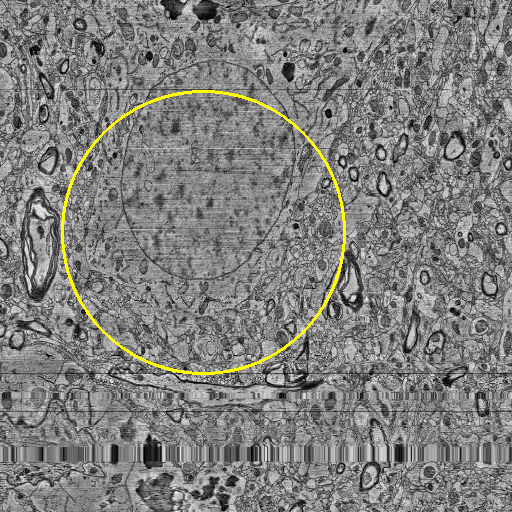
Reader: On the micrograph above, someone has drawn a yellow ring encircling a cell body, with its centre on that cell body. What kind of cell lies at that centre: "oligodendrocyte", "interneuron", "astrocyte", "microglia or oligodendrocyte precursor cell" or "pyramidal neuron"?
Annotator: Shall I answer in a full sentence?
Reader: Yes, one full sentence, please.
Here a pyramidal neuron sits at the centre of the yellow ring drawn on the micrograph.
